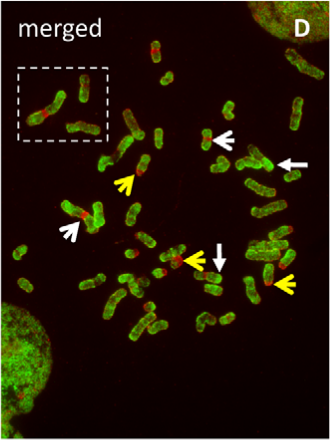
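This is a spread of metaphase chromosomes from a dividing cell, scattered as separate rod-shaped bodies of different lengths. Most of each chromosome arm is covered in green, with fainter red along the arms. At several chromosomes, small bright red spots stand out at the constriction or near one end, where green is weaker. Two interphase nuclei sit at the upper right and lower left corners as round, diffusely stained masses, much larger than the chromosomes.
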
